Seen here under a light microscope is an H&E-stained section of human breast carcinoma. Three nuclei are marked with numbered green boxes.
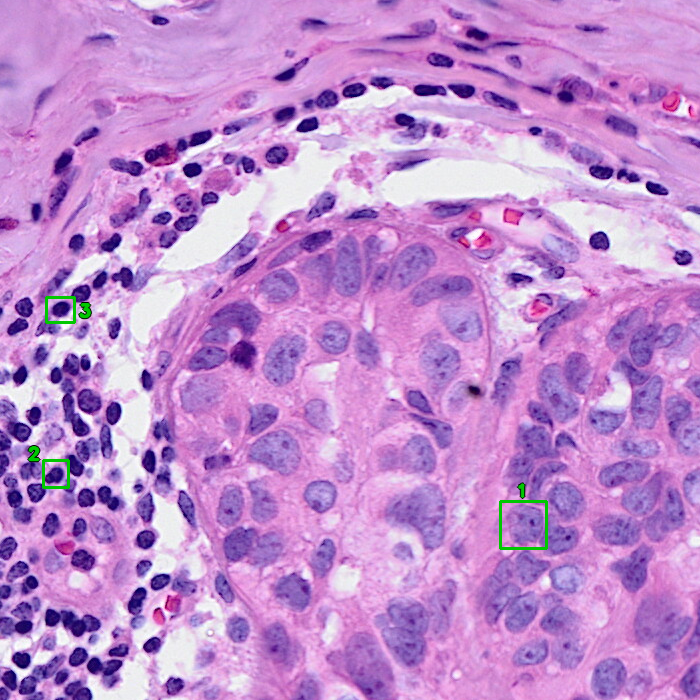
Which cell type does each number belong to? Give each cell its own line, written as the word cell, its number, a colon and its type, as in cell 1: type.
cell 1: carcinoma cell
cell 2: lymphocyte
cell 3: lymphocyte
